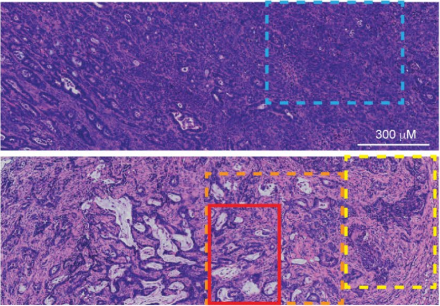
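In the upper image the tumor is densely packed and purple, with small, irregular gland profiles and solid cords of cells running through pink stroma. In the lower image many larger, open glands with clear lumens are lined by epithelium and separated by pink fibrous stroma, while the right-hand part is more solid, dark purple tumor without open glands.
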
